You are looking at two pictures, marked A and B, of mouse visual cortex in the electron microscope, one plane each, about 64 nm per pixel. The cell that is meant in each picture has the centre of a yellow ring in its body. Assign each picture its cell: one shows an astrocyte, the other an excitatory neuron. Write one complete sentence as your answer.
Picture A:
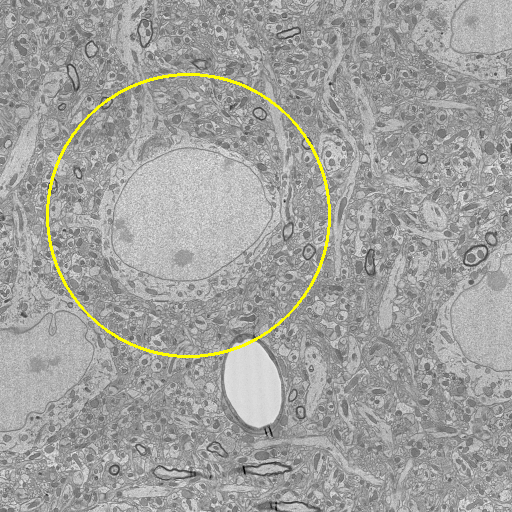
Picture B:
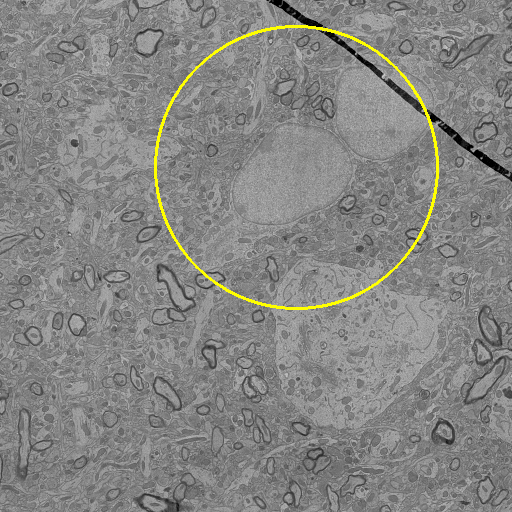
Picture A is of an excitatory neuron, and picture B is of an astrocyte.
